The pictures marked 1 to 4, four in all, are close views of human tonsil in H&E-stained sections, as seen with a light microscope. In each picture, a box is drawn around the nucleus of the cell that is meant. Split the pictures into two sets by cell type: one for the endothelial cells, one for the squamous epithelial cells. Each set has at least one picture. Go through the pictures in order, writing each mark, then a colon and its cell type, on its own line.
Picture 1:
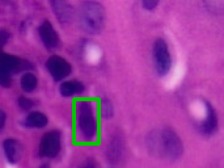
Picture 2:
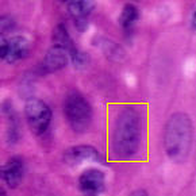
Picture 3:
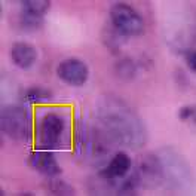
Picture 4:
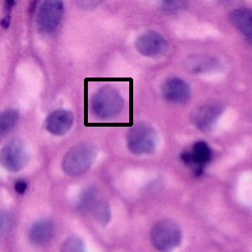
1: squamous epithelial cell
2: squamous epithelial cell
3: endothelial cell
4: squamous epithelial cell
